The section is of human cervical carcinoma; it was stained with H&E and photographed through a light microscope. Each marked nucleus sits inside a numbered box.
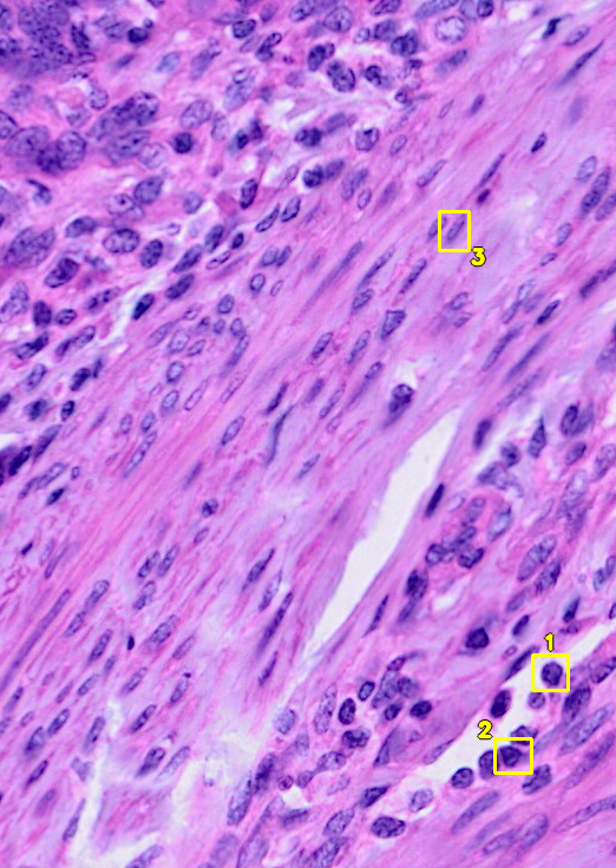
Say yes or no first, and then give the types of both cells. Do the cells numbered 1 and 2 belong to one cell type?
Yes, each of the two cells, 1 and 2, is among the lymphocytes.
